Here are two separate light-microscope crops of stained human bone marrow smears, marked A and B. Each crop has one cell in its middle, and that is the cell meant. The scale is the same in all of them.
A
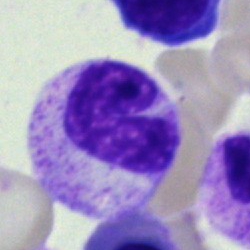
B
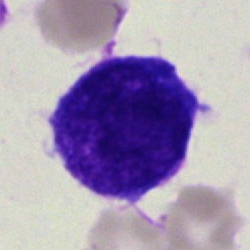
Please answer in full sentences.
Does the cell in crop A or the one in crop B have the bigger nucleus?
The nucleus in crop B is larger, with about 1.5 times the area of the one in crop A.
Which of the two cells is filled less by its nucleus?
In crop A the nucleus takes up the smaller part of its cell.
